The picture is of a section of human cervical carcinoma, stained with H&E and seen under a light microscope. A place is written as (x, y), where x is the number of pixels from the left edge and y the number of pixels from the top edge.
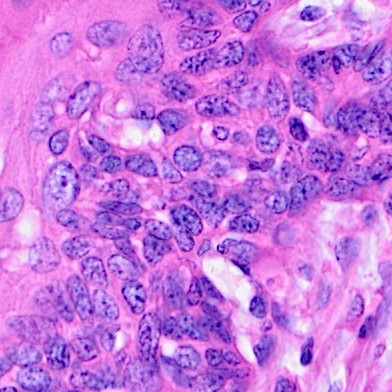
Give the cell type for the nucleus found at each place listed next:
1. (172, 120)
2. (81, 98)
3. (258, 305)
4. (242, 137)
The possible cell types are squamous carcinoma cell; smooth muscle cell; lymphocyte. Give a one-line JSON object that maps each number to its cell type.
{"1": "squamous carcinoma cell", "2": "squamous carcinoma cell", "3": "lymphocyte", "4": "squamous carcinoma cell"}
